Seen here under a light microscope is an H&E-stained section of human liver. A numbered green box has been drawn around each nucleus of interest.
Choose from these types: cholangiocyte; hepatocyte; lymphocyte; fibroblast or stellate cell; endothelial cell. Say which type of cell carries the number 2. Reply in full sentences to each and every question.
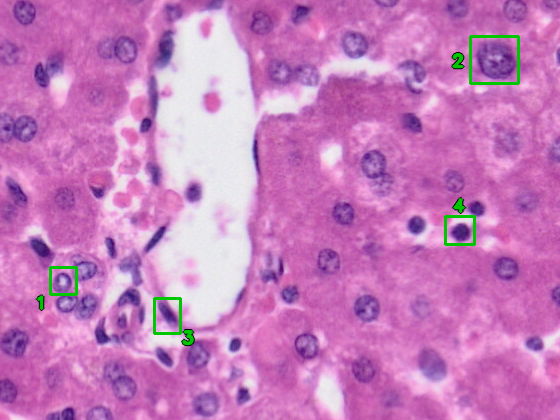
That cell with number 2 is a hepatocyte.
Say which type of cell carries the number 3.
Of the numbered cells, the one labelled 3 is a fibroblast or stellate cell.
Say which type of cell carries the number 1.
The numbered cell 1 is identified here as a cholangiocyte.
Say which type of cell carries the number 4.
The marked nucleus 4 is that of a lymphocyte.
